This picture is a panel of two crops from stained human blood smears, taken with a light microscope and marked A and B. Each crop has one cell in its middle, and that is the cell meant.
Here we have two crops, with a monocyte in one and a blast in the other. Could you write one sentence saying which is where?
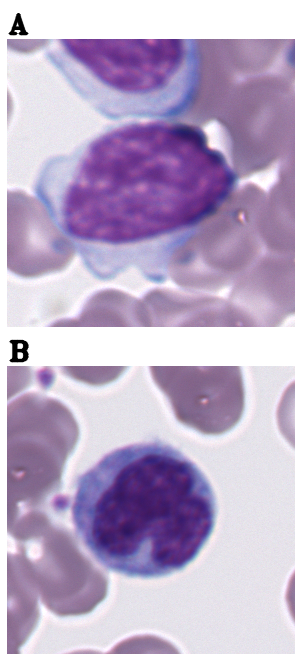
Crop A corresponds to a blast, and crop B corresponds to a monocyte.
